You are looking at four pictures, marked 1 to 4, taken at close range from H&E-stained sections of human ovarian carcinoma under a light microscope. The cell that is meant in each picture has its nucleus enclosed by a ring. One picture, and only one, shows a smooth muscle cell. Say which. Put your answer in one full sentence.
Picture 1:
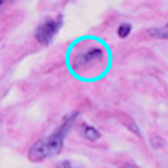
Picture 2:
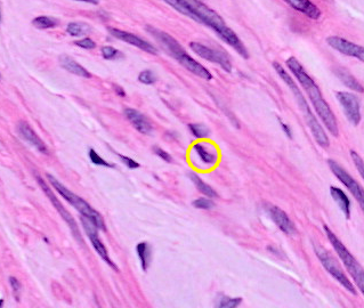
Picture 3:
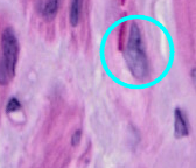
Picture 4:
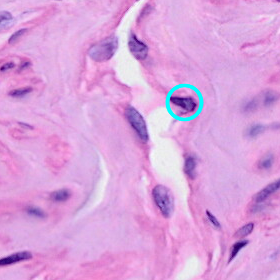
Picture 2 is the one that shows the smooth muscle cell.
